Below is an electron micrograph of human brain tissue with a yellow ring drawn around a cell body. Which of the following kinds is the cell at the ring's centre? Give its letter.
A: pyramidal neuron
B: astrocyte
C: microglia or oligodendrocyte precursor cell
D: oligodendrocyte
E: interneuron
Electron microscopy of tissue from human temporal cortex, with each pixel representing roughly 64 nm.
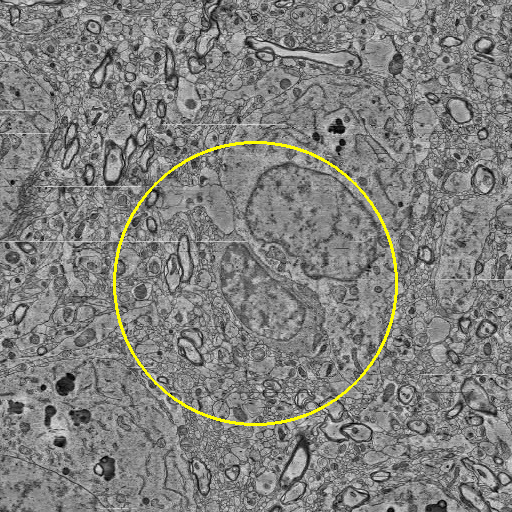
D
